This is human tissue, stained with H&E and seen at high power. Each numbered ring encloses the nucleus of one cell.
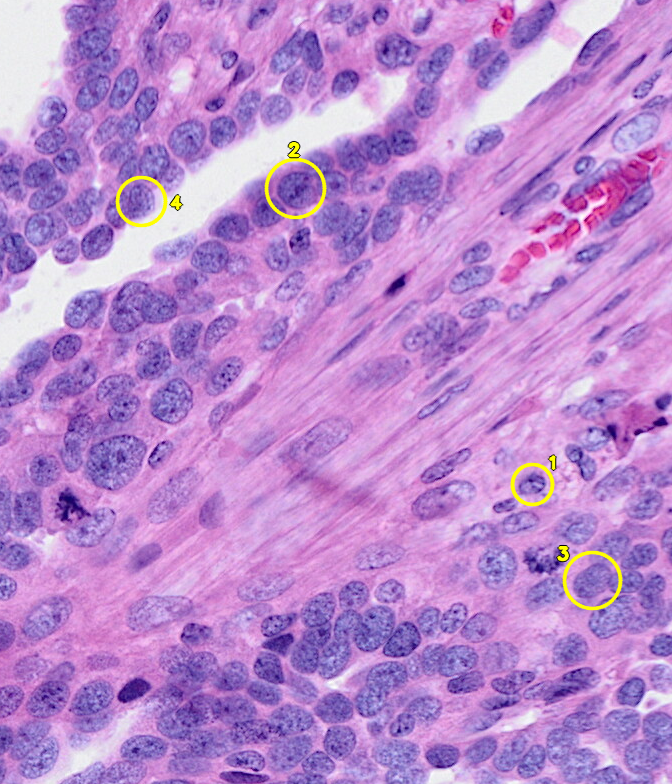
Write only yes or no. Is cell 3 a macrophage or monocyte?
no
